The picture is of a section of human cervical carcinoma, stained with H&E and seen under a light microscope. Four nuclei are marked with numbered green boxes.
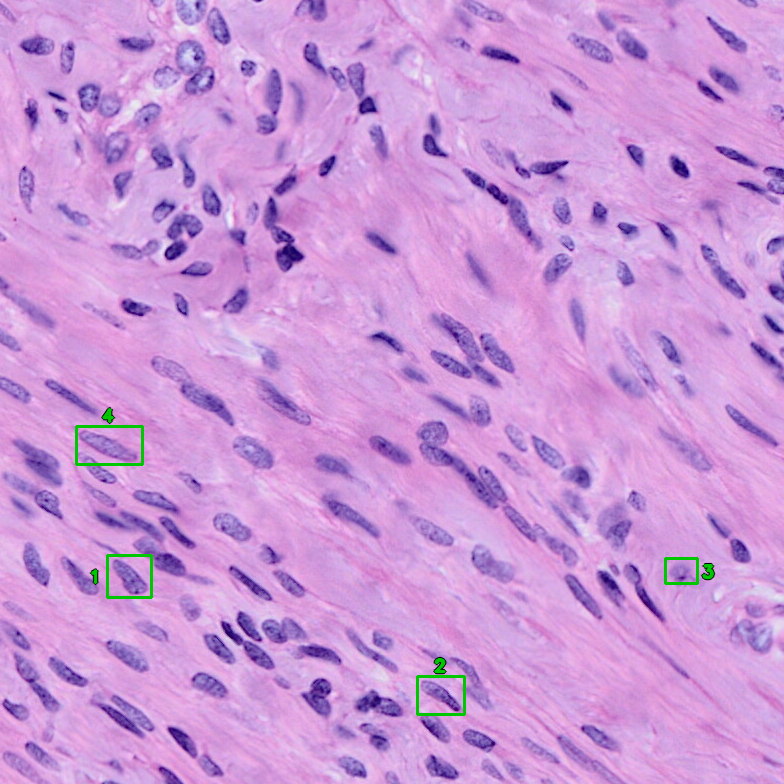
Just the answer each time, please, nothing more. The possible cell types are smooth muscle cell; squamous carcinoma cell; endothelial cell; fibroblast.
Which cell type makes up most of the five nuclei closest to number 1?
fibroblast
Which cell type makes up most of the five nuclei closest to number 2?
fibroblast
